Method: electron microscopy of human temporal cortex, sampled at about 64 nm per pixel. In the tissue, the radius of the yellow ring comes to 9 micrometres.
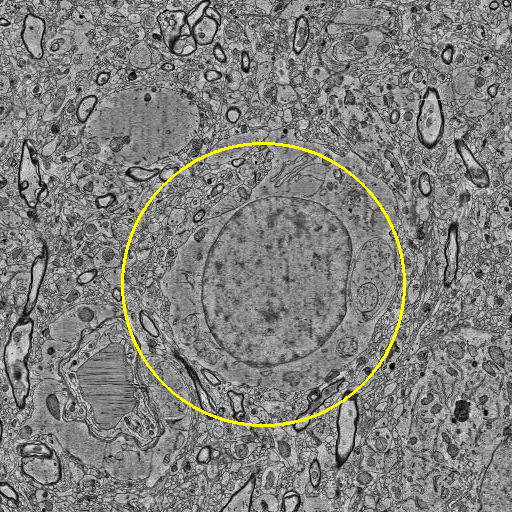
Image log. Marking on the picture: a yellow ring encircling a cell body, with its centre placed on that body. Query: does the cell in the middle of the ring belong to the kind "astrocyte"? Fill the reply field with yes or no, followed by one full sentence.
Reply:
Yes, the cell at the centre of the yellow ring in this picture belongs to that kind.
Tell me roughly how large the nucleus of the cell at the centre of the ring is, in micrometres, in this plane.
About 12 micrometres by about 10 micrometres in this plane.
